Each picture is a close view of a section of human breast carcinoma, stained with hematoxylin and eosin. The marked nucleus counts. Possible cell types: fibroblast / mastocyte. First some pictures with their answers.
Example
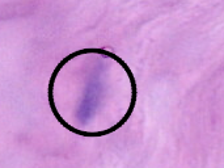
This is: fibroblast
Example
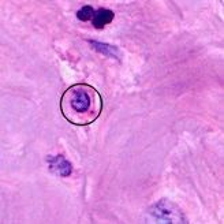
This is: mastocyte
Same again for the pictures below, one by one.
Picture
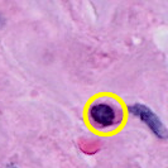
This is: mastocyte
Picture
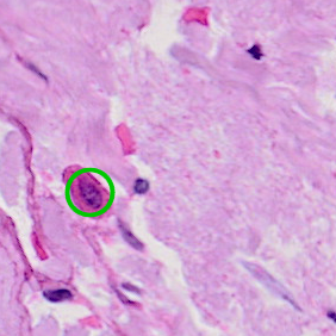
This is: mastocyte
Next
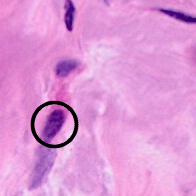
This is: mastocyte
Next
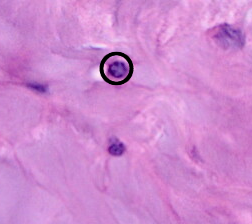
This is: mastocyte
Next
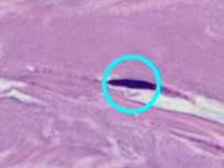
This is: fibroblast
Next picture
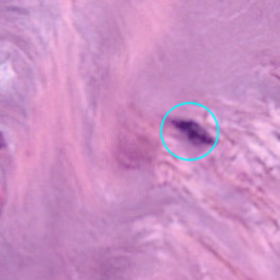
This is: fibroblast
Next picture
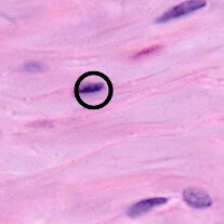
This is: fibroblast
